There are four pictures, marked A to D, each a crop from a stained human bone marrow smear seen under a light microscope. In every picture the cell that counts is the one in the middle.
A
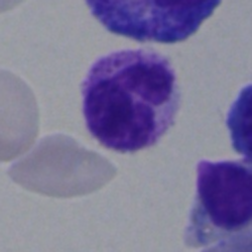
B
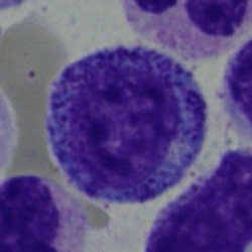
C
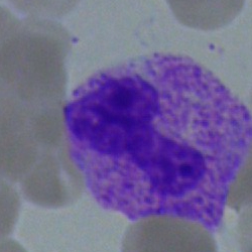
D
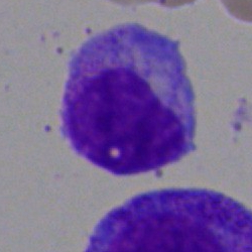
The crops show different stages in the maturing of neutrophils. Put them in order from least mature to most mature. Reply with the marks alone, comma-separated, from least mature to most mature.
B, D, C, A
